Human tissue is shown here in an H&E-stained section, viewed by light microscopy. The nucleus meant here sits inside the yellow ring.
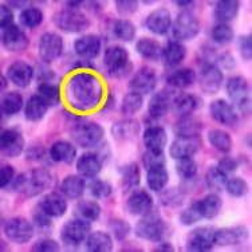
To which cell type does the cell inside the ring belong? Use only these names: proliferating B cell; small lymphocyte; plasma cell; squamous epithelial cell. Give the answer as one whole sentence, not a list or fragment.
Placed in its cell category, the cell inside the ring is a small lymphocyte.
